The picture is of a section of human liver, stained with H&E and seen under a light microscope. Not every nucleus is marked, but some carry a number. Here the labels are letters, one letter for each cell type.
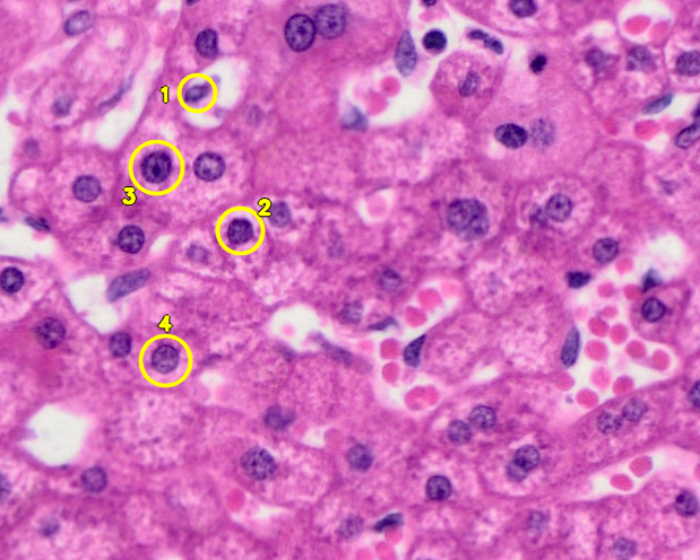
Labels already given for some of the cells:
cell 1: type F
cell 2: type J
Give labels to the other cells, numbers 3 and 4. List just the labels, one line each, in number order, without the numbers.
type J
type J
